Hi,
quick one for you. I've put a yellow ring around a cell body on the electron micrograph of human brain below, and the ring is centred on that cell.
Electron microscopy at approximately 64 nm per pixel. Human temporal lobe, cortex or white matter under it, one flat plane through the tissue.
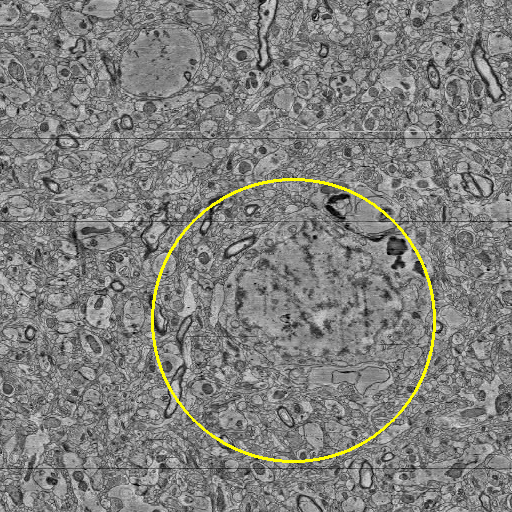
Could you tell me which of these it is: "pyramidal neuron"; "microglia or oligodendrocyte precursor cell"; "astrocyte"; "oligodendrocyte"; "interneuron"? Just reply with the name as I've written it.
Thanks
interneuron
